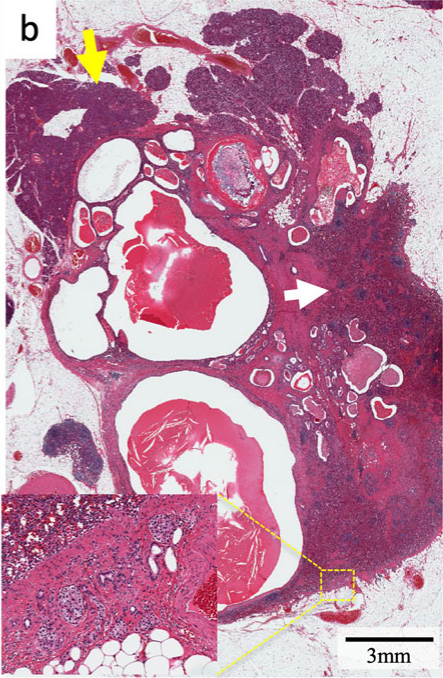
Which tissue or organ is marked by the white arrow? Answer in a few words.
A: Accessory spleen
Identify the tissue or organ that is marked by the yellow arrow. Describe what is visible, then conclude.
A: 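The yellow arrow points at purple tissue at the top that is divided into small lobules. The lobules are separated by pale fibrofatty septa.
Pancreatic tissue.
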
